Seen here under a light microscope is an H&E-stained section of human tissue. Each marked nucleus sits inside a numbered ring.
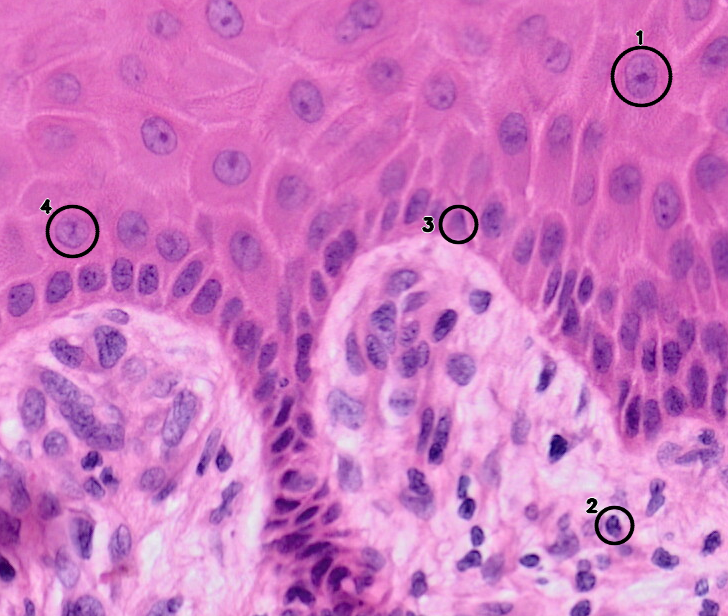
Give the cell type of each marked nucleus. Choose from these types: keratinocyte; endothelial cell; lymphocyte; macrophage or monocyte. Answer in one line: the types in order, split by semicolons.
keratinocyte; lymphocyte; keratinocyte; keratinocyte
